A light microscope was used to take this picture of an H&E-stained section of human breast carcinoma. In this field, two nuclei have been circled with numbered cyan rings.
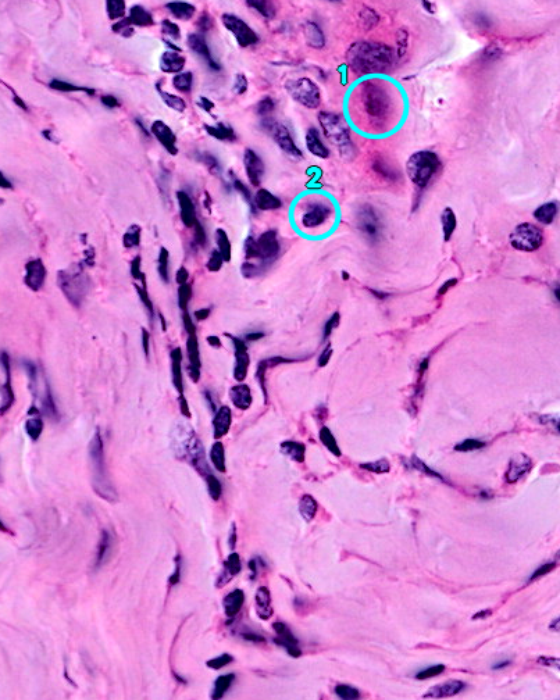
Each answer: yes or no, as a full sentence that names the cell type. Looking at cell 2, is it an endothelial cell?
No, cell 2 is not an endothelial cell at all but a lymphocyte.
